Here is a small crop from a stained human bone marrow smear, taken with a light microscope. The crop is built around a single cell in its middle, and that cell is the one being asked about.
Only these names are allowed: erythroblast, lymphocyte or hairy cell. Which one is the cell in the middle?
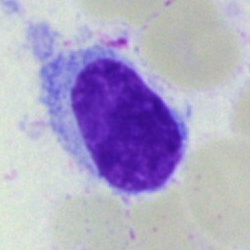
hairy cell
